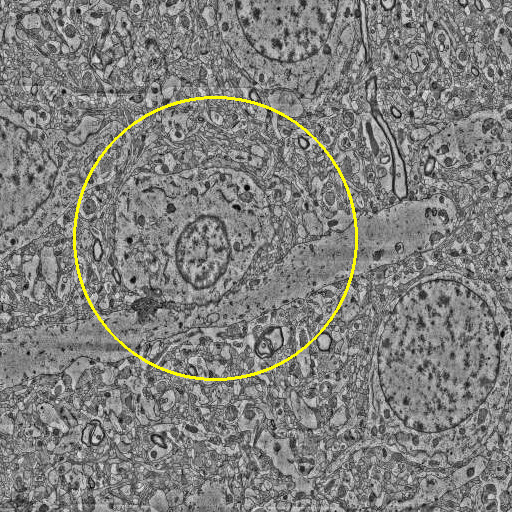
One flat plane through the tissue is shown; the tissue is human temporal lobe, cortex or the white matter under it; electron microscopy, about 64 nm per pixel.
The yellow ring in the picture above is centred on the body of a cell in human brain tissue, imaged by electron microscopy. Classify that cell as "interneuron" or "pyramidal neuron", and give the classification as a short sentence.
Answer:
The cell in the middle of the ring is a pyramidal neuron.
